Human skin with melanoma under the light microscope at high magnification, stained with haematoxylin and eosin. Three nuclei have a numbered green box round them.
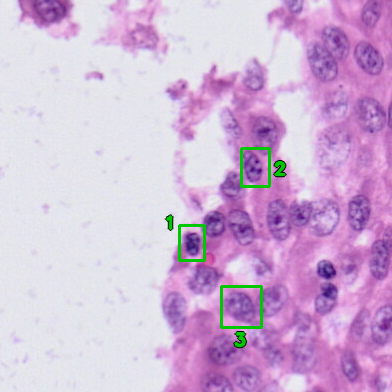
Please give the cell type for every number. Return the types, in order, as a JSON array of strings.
["lymphocyte", "melanoma cell", "melanoma cell"]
